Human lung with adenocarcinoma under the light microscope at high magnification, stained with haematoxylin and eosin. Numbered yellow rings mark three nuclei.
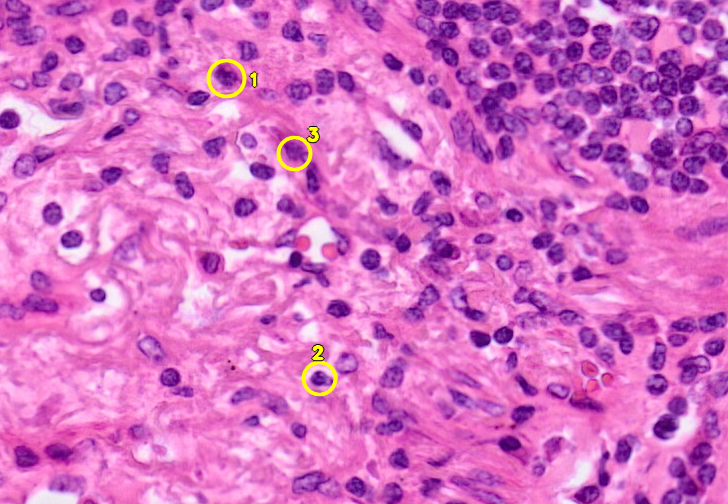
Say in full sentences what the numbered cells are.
Cell 1 is a plasma cell, cell 2 is a lymphocyte and cell 3 is a plasma cell.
